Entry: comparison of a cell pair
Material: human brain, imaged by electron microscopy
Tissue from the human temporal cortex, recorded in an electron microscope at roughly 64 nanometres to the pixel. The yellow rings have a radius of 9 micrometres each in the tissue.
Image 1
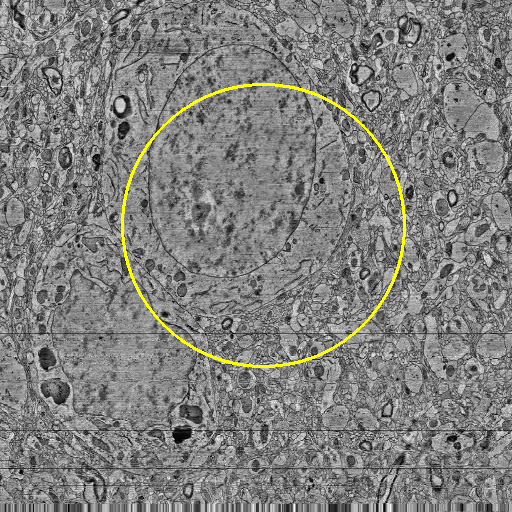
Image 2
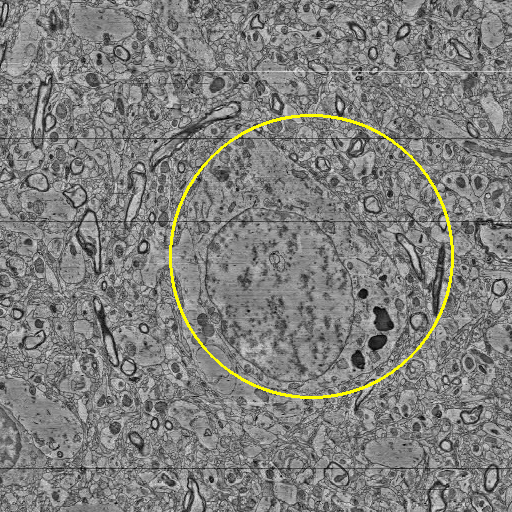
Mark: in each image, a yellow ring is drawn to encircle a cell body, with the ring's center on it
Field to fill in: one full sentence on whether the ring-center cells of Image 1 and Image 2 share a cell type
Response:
Yes, Image 1 and Image 2 each show a ring-center cell of one shared type.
